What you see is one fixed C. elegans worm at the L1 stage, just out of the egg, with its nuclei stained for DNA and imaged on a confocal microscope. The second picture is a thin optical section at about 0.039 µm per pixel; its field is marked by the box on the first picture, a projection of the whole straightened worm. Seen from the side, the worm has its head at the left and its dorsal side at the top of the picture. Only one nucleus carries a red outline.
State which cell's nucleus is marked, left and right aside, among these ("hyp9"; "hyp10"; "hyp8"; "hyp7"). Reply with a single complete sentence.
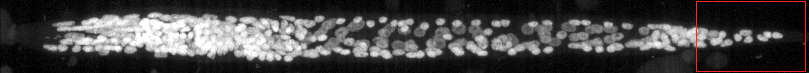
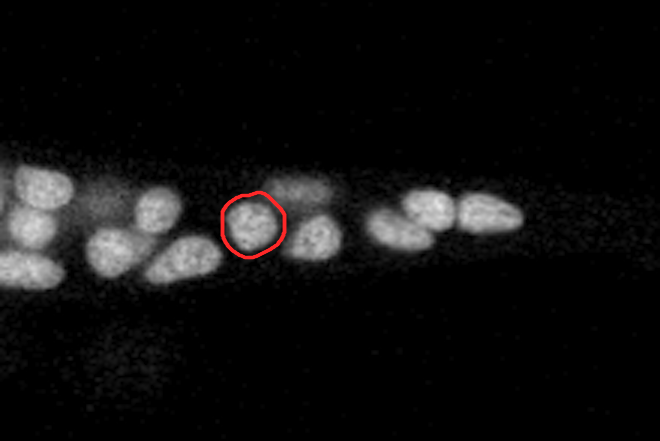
This is the nucleus of hyp7, a hypodermal cell (hyp).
